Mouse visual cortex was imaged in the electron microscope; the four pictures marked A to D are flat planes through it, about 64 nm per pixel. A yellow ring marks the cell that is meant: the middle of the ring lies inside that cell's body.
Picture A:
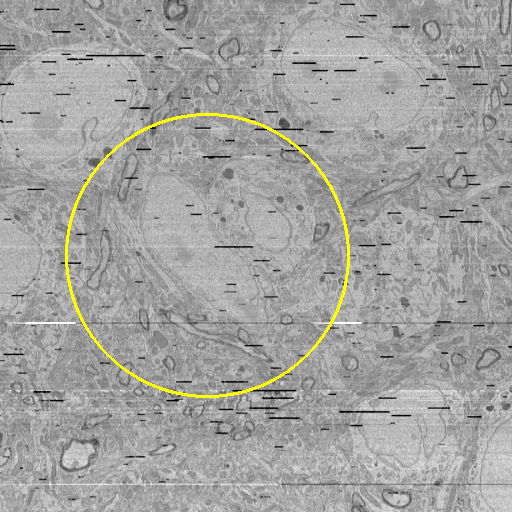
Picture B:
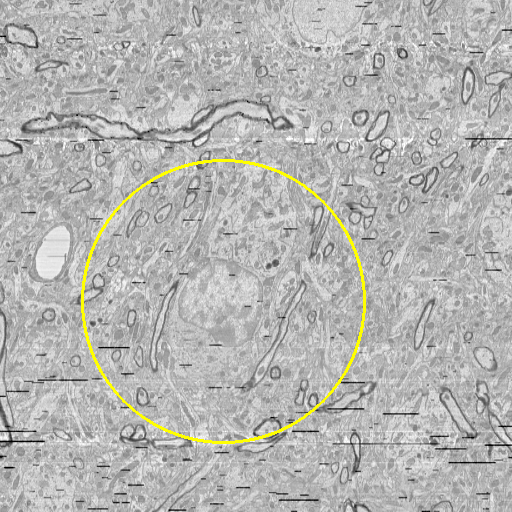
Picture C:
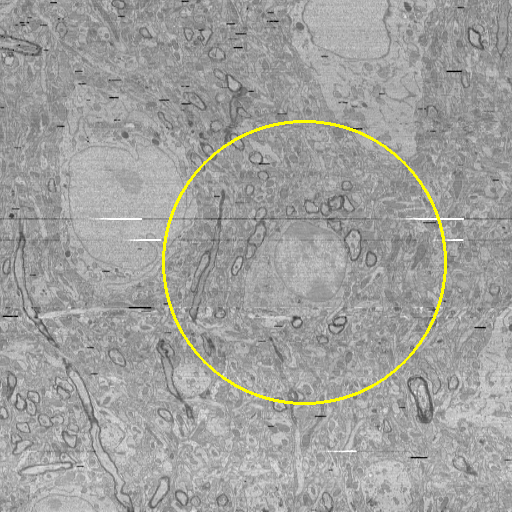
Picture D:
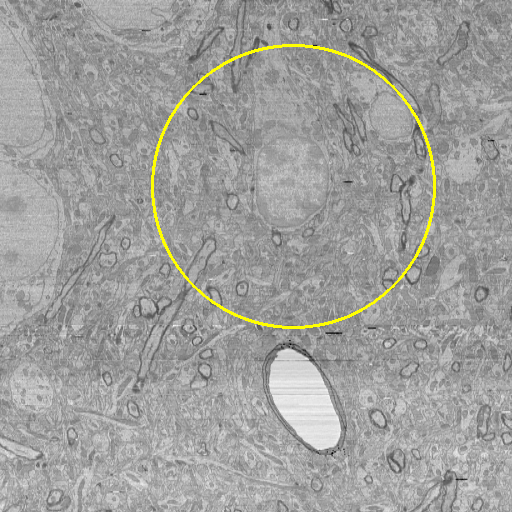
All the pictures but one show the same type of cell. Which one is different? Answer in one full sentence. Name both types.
Unlike the rest, which show oligodendrocytes, picture A shows an oligodendrocyte precursor cell.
